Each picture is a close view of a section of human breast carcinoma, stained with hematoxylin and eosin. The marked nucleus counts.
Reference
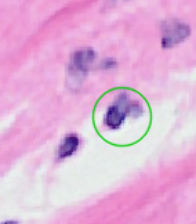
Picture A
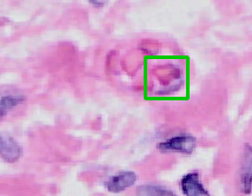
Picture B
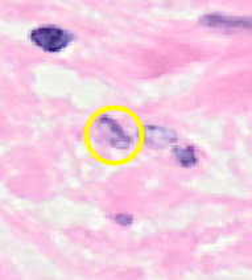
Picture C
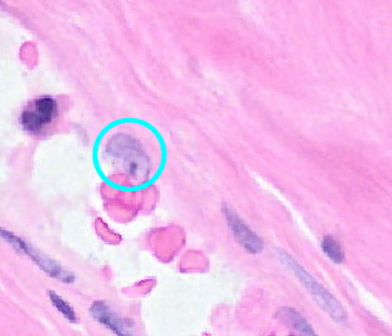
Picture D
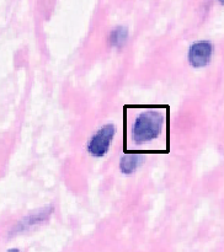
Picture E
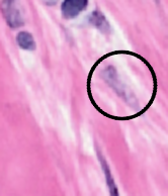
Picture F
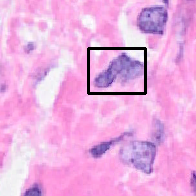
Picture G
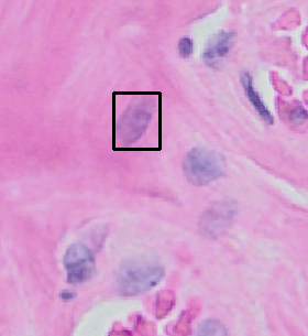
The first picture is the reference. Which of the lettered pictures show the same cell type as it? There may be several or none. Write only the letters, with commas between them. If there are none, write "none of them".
D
